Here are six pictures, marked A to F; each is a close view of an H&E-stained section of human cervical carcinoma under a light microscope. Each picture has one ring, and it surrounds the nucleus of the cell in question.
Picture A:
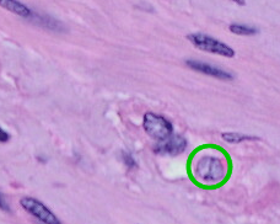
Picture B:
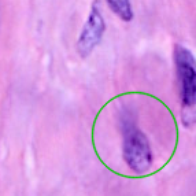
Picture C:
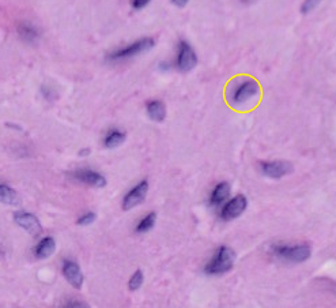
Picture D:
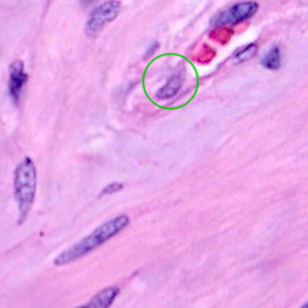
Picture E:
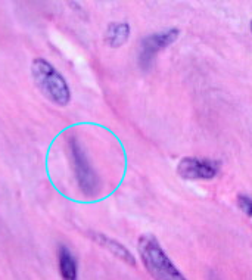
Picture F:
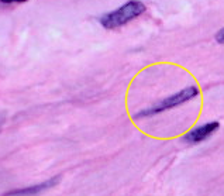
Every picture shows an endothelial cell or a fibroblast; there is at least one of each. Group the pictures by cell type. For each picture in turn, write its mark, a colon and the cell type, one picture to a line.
A: endothelial cell
B: fibroblast
C: fibroblast
D: endothelial cell
E: fibroblast
F: fibroblast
